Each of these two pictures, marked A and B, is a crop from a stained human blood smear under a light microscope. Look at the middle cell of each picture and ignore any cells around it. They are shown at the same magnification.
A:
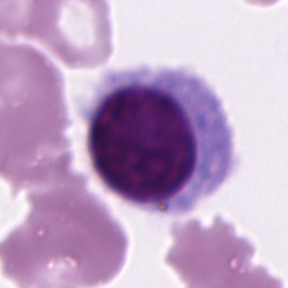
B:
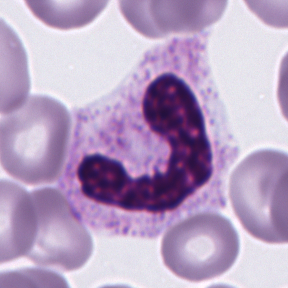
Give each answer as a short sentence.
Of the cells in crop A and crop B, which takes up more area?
Larger is the cell in crop B, at roughly 1.5 times the area of the other.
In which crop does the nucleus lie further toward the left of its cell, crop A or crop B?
In crop A the nucleus is shifted more toward the left.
